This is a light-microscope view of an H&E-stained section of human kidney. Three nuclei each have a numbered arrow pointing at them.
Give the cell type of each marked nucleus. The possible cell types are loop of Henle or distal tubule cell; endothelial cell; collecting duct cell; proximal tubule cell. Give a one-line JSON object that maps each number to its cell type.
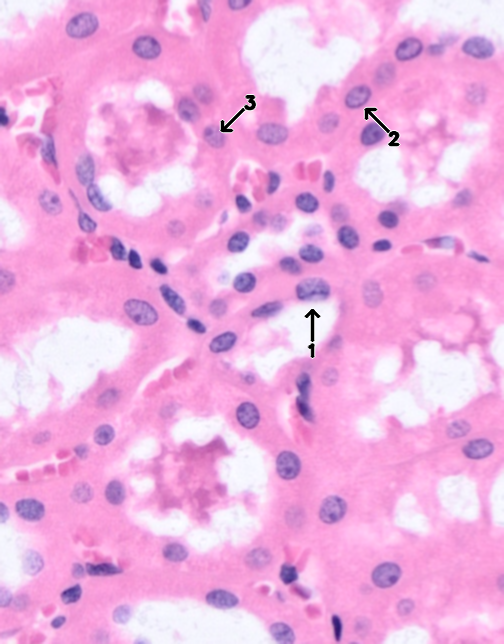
{"1": "loop of Henle or distal tubule cell", "2": "proximal tubule cell", "3": "proximal tubule cell"}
